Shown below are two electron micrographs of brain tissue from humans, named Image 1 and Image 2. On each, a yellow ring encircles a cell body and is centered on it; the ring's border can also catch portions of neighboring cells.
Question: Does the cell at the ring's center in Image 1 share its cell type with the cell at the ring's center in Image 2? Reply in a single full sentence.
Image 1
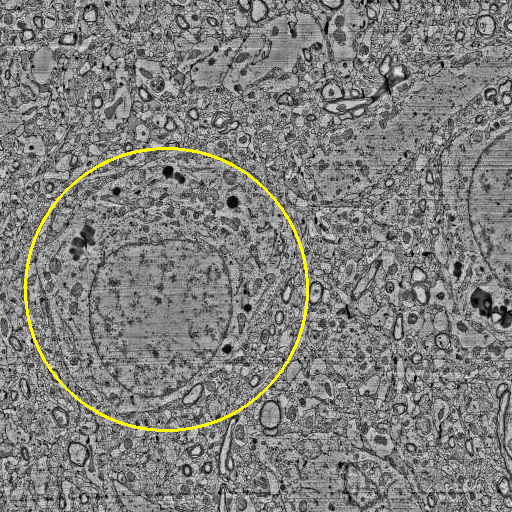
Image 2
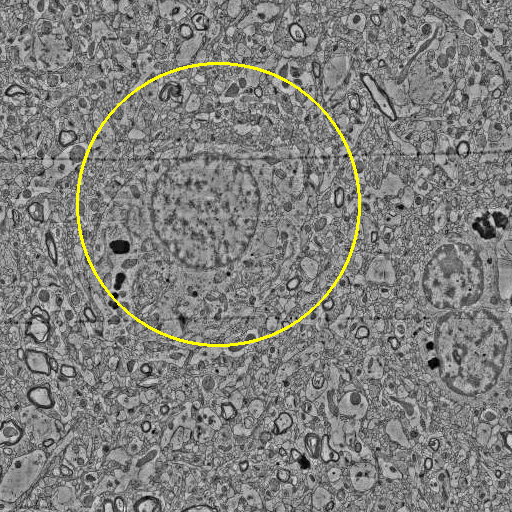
Yes, the two cells at the ring centers, in Image 1 and Image 2, share one cell type.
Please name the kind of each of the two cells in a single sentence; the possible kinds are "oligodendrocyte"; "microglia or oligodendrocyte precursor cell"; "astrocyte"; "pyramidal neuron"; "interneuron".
Both rings mark an interneuron, one in each picture.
